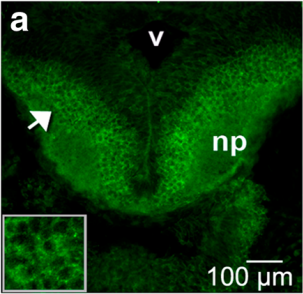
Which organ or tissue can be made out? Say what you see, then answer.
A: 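Paired brain hemispheres on either side of a dorsal ventricle. Densely packed cell bodies medially with a lateral neuropil zone. That points to this answer: midbrain optic tectum.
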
